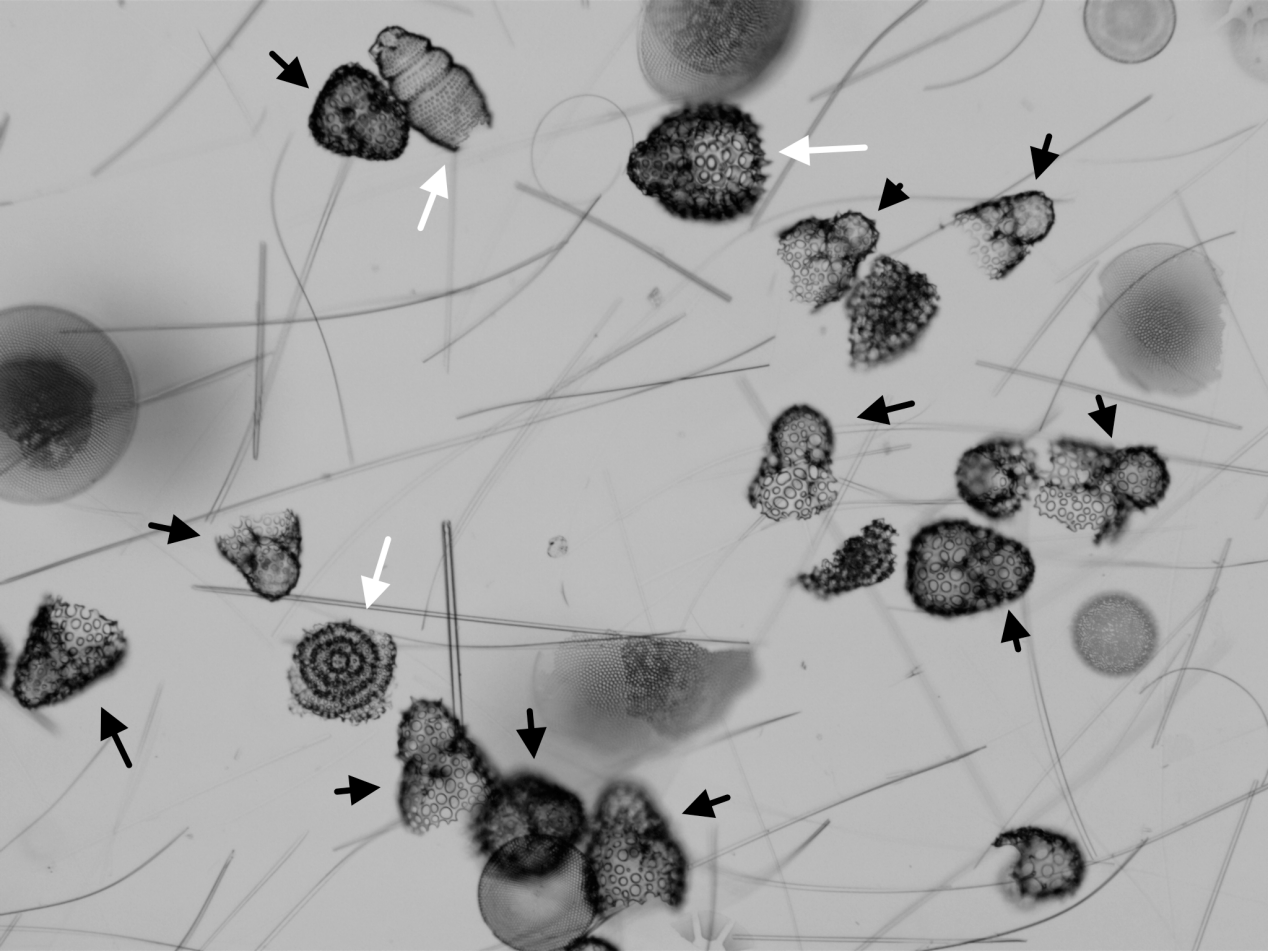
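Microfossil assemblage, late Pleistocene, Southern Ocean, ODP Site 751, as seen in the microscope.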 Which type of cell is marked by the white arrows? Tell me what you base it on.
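Radiolarian. The white arrows point to siliceous skeletons with a lattice of round pores. One specimen under a white arrow is a disc with concentric rings of pores. Another specimen under a white arrow is conical and divided into several segments.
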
